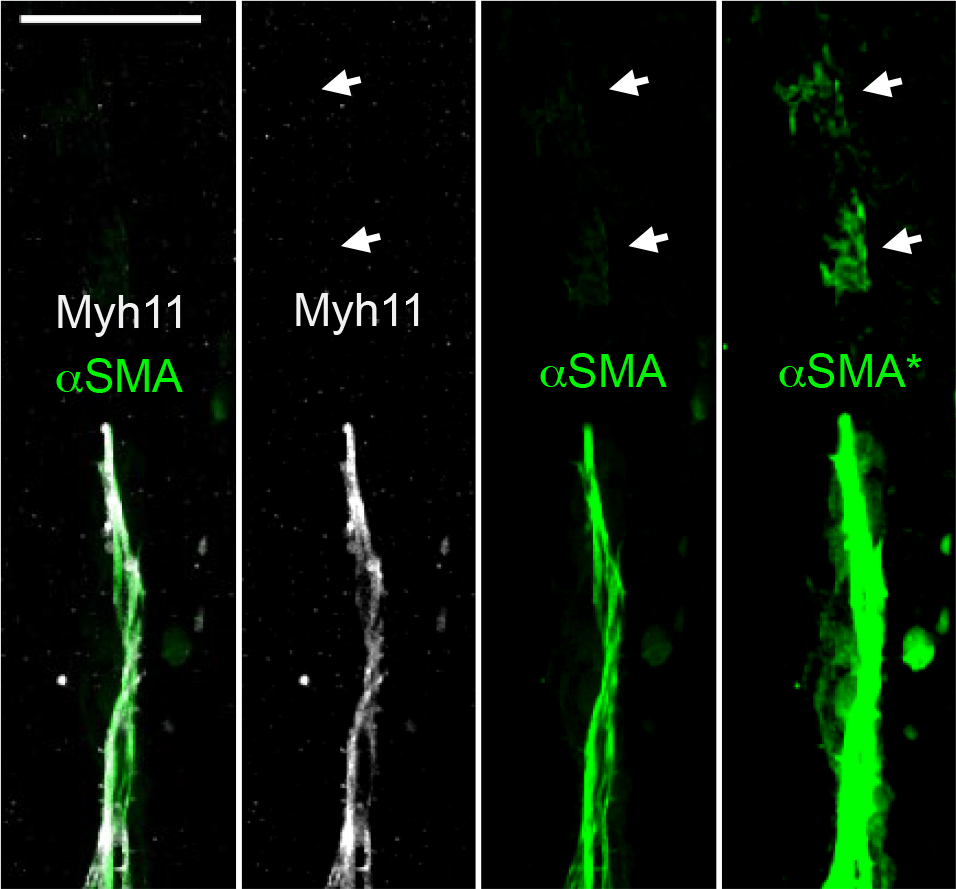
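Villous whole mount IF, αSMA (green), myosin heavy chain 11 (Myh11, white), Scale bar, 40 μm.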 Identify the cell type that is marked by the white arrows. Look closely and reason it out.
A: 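The arrows point to small irregular branched green patches in the upper villus. These patches are much fainter than the bundle below and show clearly only in the brightest strip. So: star cells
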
